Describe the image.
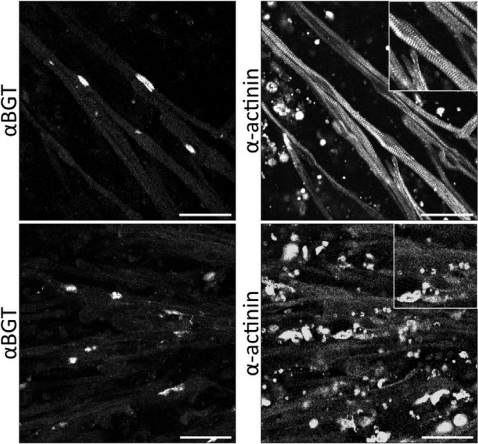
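Long parallel muscle fibres are seen in gray scale, with small bright elongated patches scattered along them in the left images. In the upper right image the fibres are well outlined and the enlarged inset shows regular transverse banding, the striations of individual myotubes, while in the lower right image the fibres are faint and blurred, crowded by bright irregular blobs, and the inset shows no clear banding.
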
